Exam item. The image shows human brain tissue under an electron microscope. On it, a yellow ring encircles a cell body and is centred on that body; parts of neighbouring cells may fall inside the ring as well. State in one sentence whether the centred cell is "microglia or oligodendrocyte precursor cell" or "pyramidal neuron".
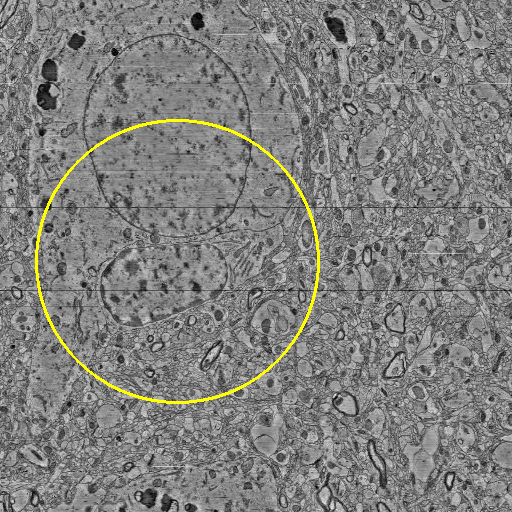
The cell body centred in the ring is a microglial cell or oligodendrocyte precursor cell.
